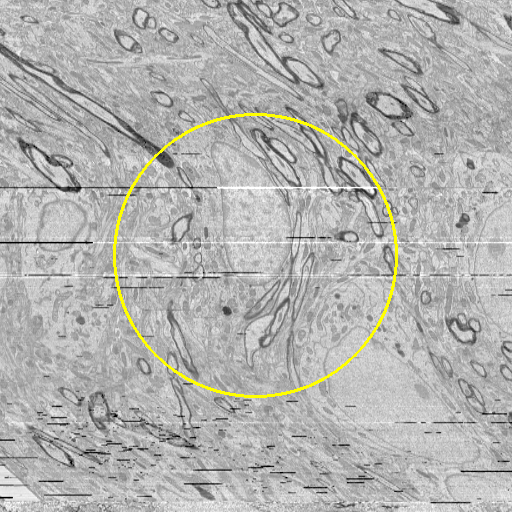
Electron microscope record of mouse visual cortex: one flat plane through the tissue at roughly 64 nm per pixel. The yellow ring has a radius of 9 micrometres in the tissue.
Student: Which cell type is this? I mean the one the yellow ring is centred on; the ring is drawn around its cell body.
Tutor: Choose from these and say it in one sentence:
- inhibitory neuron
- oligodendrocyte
The cell the ring is centred on is an oligodendrocyte.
